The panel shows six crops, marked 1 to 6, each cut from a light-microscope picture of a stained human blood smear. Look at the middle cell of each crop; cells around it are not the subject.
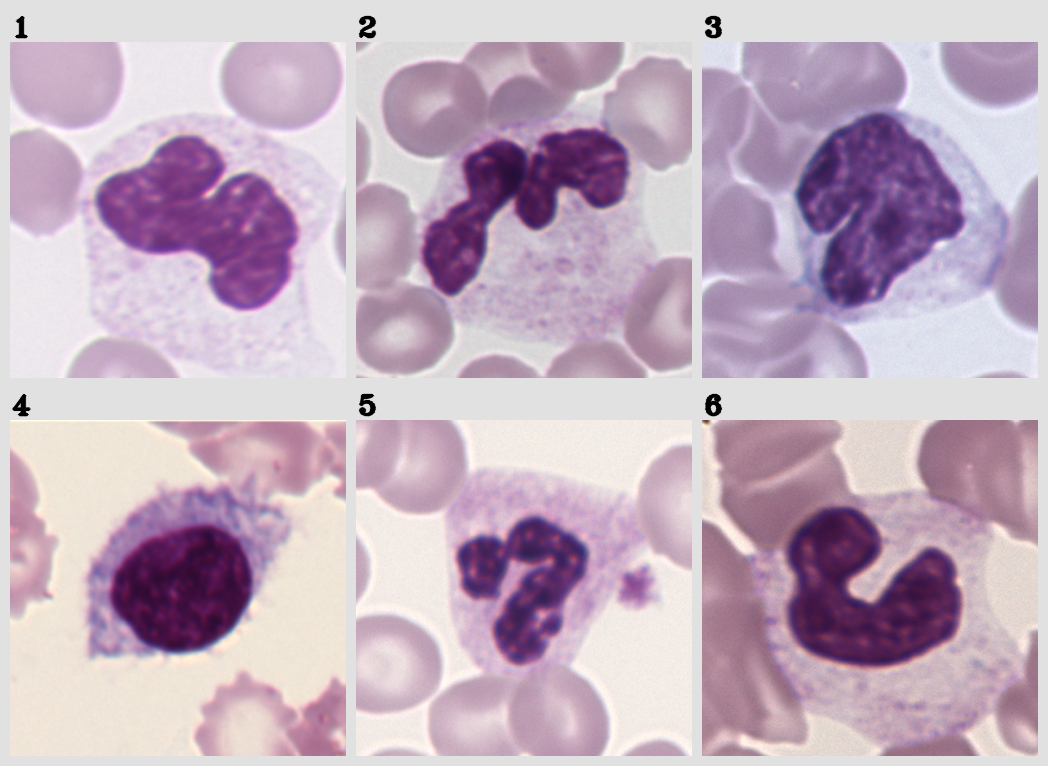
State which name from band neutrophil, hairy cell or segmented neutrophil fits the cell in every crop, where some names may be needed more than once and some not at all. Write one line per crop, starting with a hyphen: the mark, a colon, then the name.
- 1: band neutrophil
- 2: segmented neutrophil
- 3: band neutrophil
- 4: hairy cell
- 5: segmented neutrophil
- 6: band neutrophil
